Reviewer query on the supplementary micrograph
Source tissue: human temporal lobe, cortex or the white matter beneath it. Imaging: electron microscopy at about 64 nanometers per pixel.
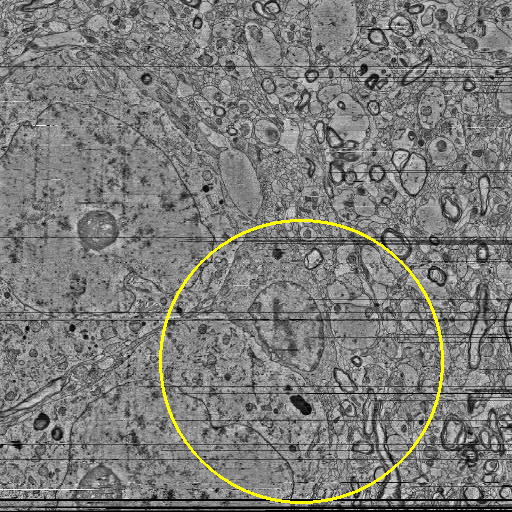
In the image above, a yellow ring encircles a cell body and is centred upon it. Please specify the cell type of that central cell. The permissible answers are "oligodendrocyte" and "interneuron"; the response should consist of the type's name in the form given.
oligodendrocyte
